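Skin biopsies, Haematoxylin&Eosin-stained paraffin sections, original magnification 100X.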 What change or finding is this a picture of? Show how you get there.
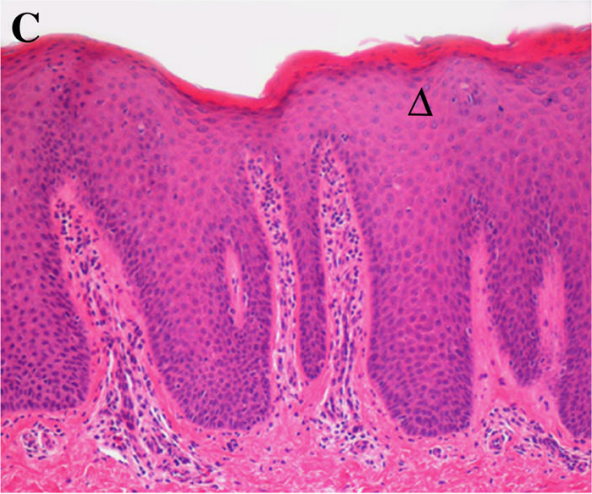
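Marked elongation of rete ridges. Thin dermal papillae reach high up between the ridges.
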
